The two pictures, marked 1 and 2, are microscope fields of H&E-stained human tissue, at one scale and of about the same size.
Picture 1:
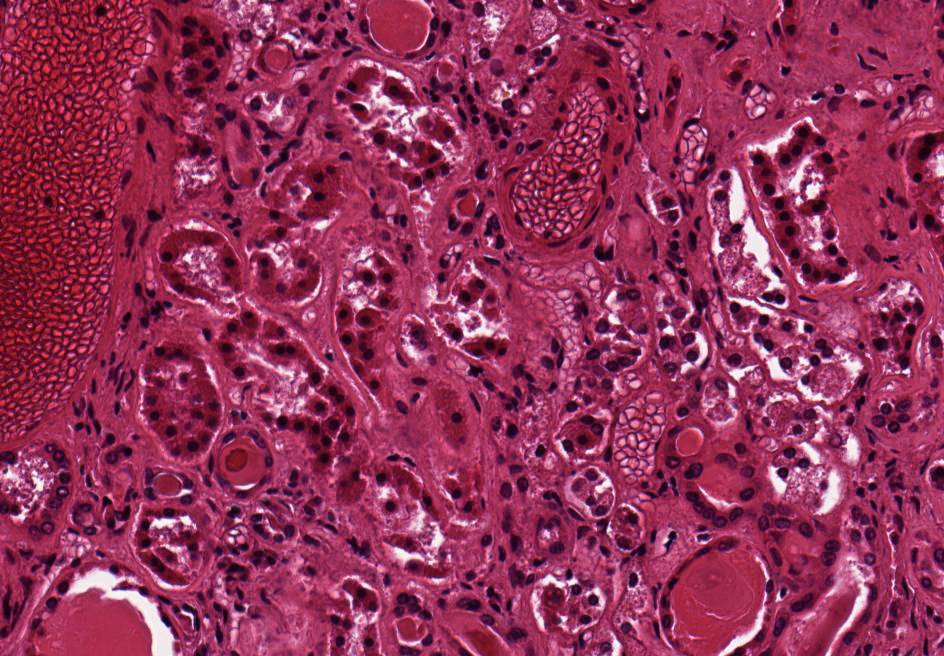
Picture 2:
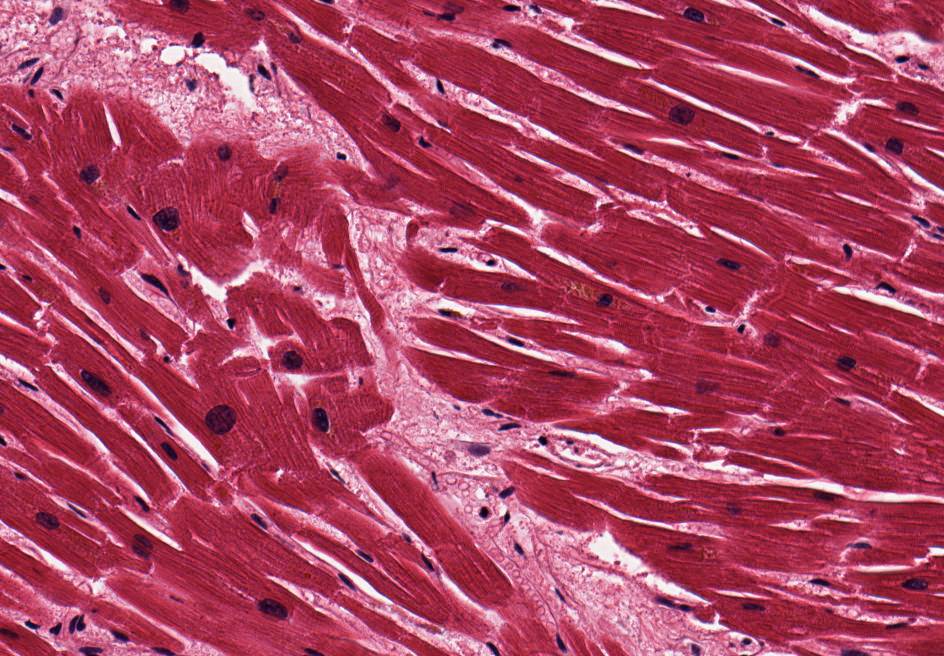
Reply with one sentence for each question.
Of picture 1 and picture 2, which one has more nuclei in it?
Picture 1 holds more nuclei than picture 2.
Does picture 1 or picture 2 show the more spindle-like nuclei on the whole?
Longer, more slender nuclei lie in picture 2.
